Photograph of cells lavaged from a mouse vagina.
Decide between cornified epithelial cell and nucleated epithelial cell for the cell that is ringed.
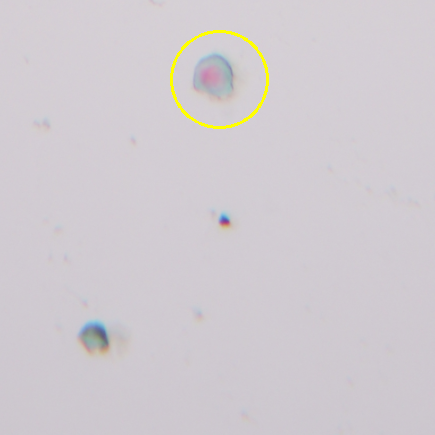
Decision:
I take the ringed cell for a nucleated epithelial cell.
